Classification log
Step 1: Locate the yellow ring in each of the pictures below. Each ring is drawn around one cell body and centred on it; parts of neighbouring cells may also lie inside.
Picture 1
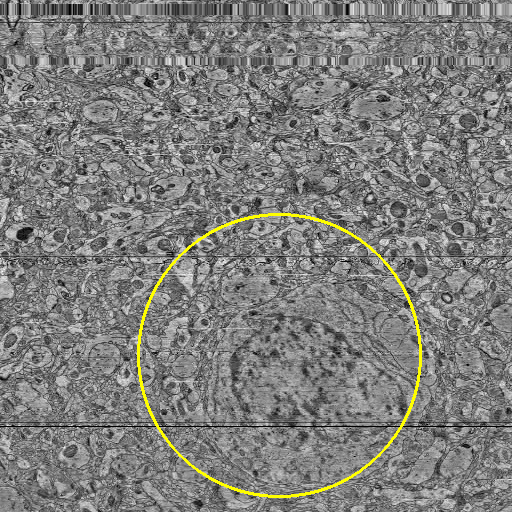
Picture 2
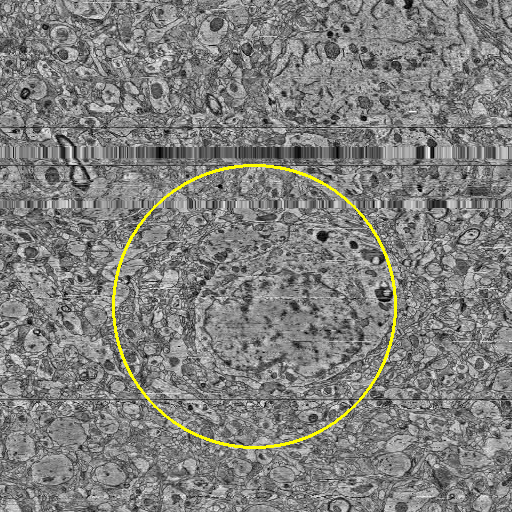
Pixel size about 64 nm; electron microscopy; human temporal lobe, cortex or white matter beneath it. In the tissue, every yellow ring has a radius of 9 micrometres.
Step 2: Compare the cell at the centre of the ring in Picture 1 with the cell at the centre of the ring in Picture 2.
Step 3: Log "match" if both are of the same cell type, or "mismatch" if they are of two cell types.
match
